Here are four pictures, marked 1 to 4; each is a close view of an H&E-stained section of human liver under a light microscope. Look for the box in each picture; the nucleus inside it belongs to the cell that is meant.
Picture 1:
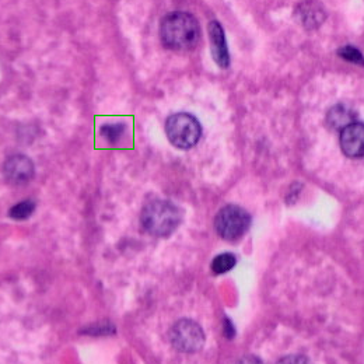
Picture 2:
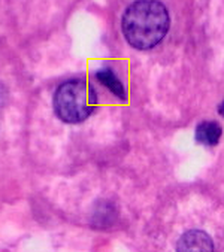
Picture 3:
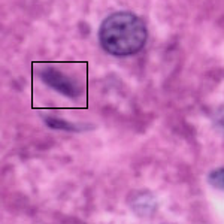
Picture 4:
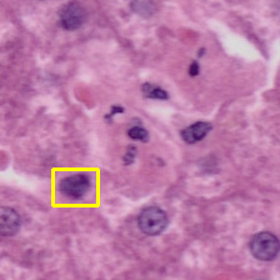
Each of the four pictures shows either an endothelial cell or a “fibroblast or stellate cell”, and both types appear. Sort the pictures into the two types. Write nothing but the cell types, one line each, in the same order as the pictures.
endothelial cell
fibroblast or stellate cell
fibroblast or stellate cell
fibroblast or stellate cell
